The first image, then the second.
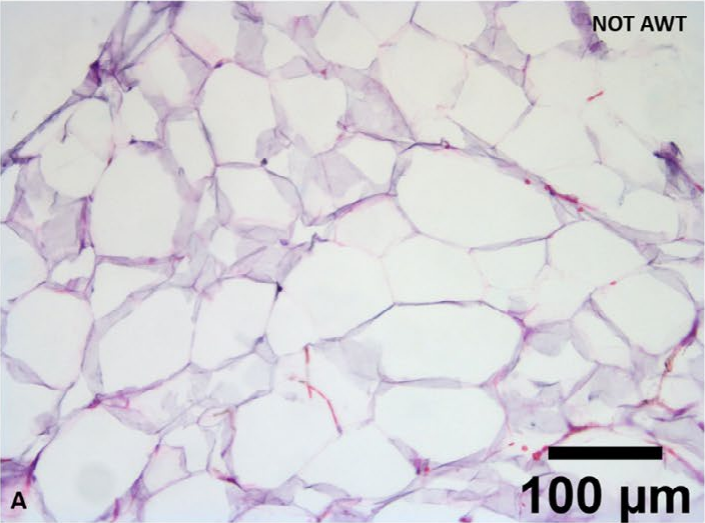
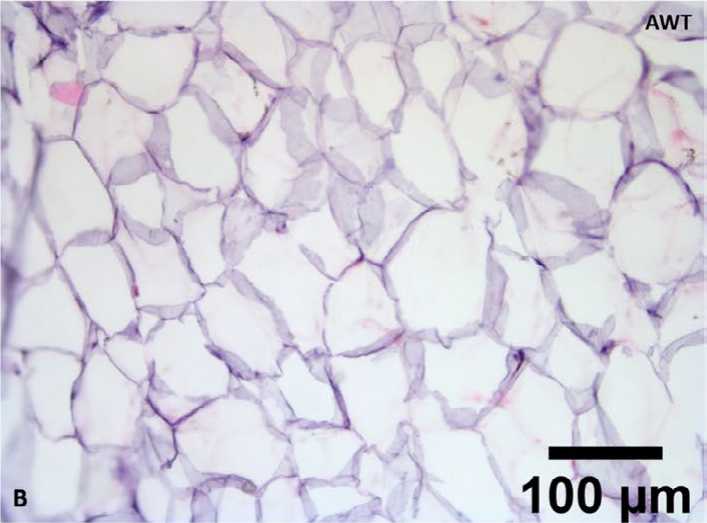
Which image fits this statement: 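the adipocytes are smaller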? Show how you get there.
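First image: several fat cells are very large, some spanning more than the length of the 100 µm scale bar. Second image: the fat cells are more uniform and mostly about the length of the scale bar or smaller.
Conclusion: the second image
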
